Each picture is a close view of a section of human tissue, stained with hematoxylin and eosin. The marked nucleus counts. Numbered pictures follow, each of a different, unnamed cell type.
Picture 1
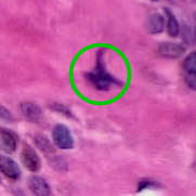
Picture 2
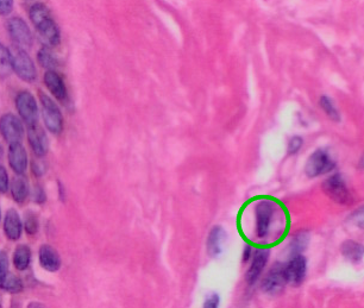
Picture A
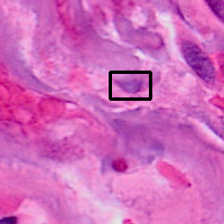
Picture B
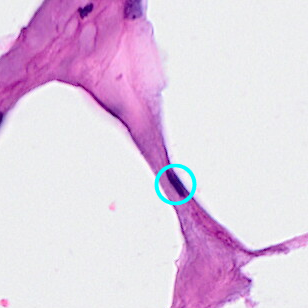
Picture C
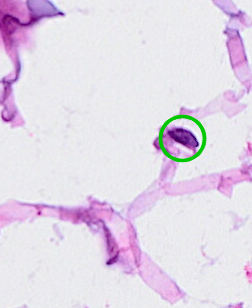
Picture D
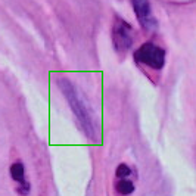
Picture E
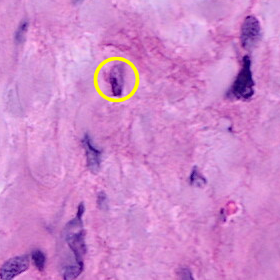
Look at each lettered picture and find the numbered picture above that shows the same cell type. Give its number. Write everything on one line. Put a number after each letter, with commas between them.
A 1, B 1, C 1, D 1, E 1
